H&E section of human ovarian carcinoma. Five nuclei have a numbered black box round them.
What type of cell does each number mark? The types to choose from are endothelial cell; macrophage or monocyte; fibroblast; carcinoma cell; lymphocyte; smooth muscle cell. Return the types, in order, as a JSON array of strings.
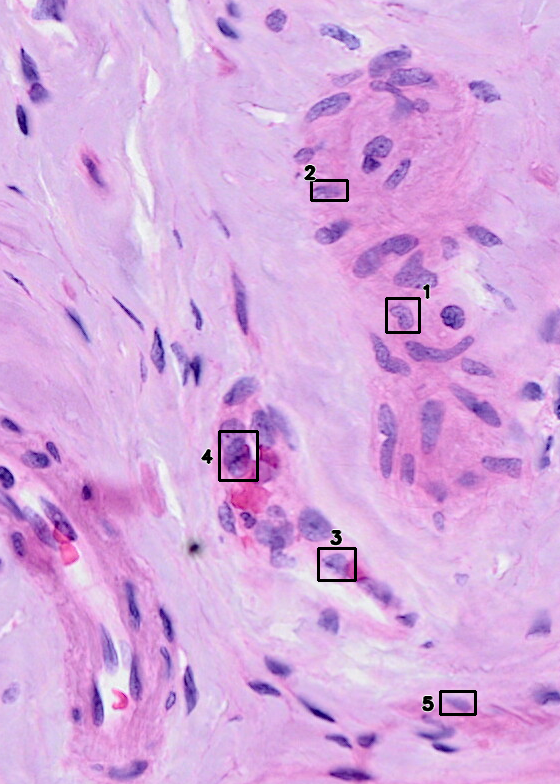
["smooth muscle cell", "smooth muscle cell", "endothelial cell", "endothelial cell", "smooth muscle cell"]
